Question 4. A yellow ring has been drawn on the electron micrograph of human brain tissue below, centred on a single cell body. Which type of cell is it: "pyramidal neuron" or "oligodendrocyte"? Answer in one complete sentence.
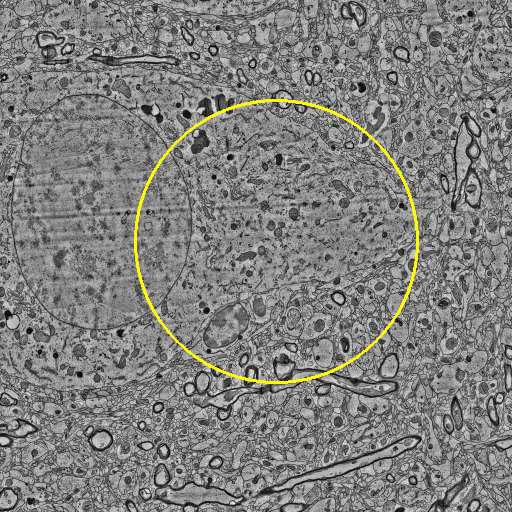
This cell body belongs to an oligodendrocyte.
